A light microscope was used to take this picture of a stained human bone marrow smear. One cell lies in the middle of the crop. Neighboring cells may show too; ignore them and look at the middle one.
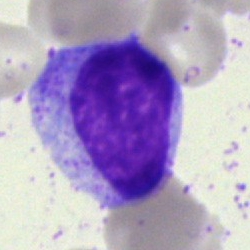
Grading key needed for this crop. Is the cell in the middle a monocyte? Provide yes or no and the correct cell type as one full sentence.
No, the central cell is identified not as a monocyte but as a myelocyte.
